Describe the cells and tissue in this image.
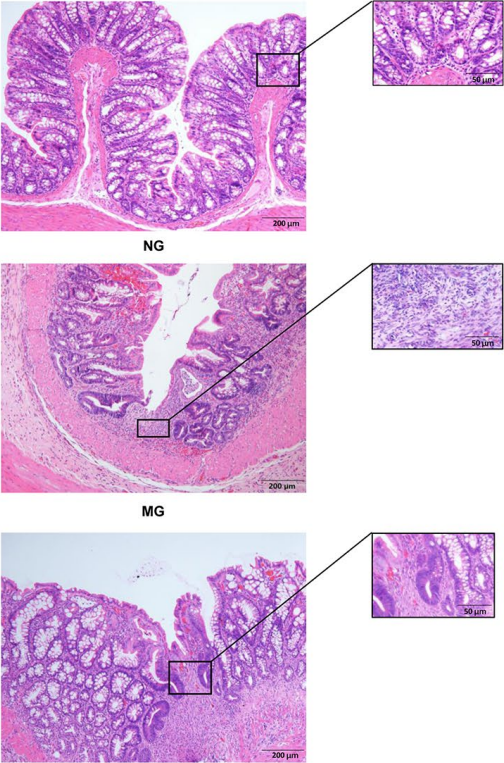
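This is the wall of the colon, stained pink and purple, in three stacked images. In the top image the mucosa is made of long, straight, evenly spaced crypts packed with pale, rounded mucus-filled goblet cells, with their nuclei pushed to the base. Thin pink connective tissue lies between the crypts, and smooth muscle runs along the bottom. In the middle image the crypts are fewer, shorter and distorted, with less pale mucus. The tissue around them is crowded with small dark purple nuclei, as the magnified inset shows. In the bottom image many crypts with goblet cells remain, though the surface is uneven and some red blood cells are seen.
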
